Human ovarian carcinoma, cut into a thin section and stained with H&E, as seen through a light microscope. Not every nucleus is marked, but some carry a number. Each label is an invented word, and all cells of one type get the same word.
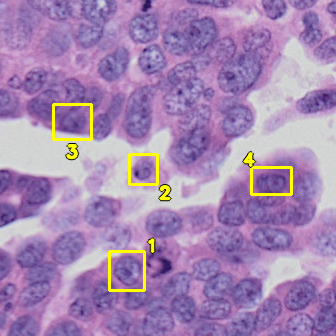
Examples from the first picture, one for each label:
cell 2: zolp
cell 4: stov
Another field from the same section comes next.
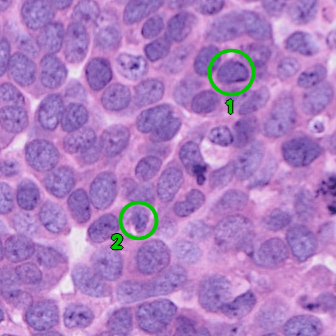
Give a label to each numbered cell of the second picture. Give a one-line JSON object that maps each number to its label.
{"1": "stov", "2": "zolp"}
